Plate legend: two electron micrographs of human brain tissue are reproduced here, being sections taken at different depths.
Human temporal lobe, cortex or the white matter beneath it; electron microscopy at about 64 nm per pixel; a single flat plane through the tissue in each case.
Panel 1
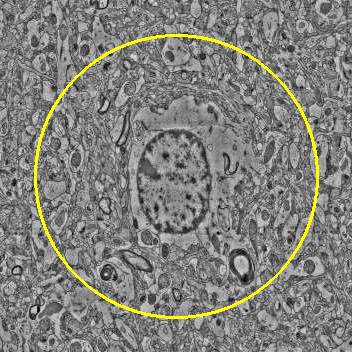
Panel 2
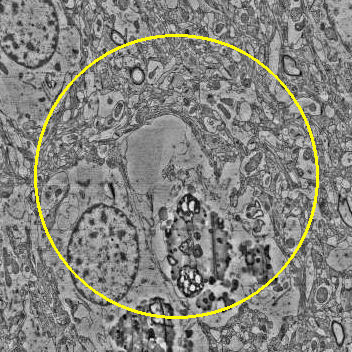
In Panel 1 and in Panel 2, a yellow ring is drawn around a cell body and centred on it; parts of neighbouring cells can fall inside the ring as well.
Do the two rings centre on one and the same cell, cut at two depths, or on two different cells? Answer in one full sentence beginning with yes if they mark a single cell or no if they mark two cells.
No, these two rings belong to two distinct cells.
